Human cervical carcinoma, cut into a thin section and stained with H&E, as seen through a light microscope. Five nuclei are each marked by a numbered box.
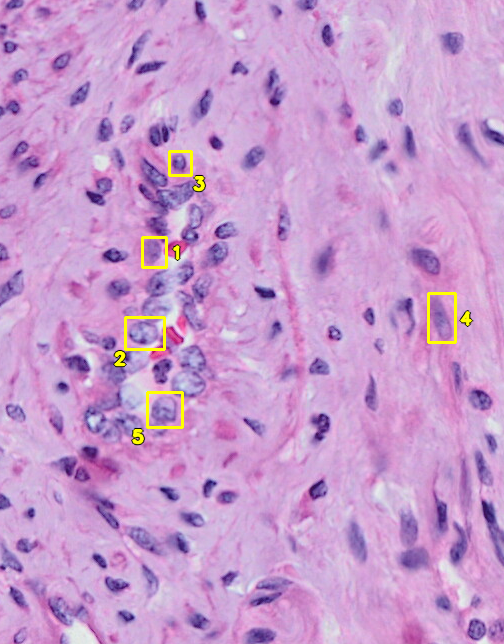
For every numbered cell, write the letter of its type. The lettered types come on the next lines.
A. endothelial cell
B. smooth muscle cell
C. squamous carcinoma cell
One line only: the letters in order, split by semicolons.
A; A; B; B; A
